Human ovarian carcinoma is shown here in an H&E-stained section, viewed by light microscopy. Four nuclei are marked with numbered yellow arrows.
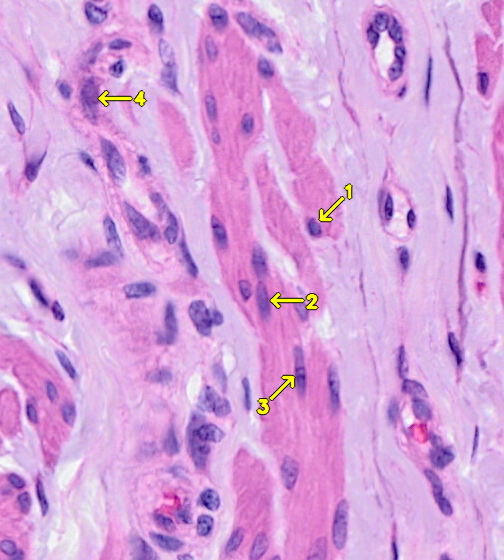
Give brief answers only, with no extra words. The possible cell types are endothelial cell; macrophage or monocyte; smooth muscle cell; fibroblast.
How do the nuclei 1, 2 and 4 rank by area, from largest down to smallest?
4, 2, 1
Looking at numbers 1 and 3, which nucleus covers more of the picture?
3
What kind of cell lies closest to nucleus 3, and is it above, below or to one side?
a smooth muscle cell below and to the right of nucleus 3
